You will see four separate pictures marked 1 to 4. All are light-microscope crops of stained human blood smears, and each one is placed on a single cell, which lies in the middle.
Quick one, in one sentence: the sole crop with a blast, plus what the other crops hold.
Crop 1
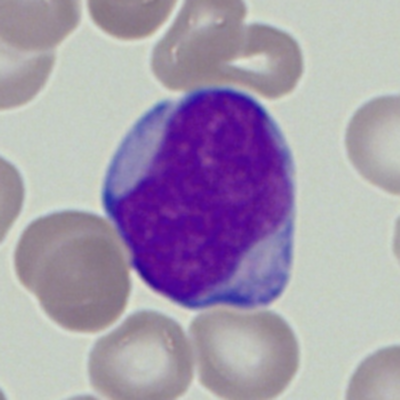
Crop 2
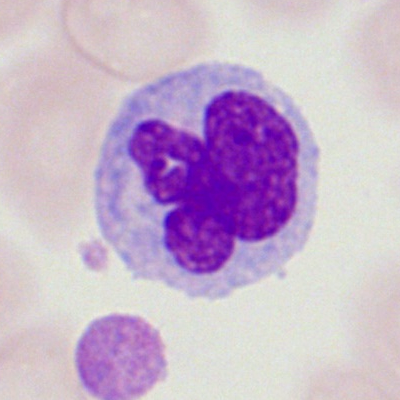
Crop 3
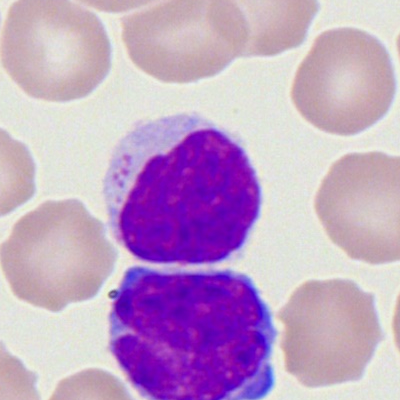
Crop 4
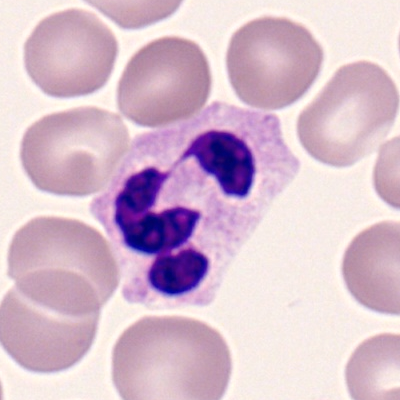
As for the set, crop 1 shows a blast, while crop 2 is a monocyte, crop 3 is a lymphocyte and crop 4 is a neutrophil.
